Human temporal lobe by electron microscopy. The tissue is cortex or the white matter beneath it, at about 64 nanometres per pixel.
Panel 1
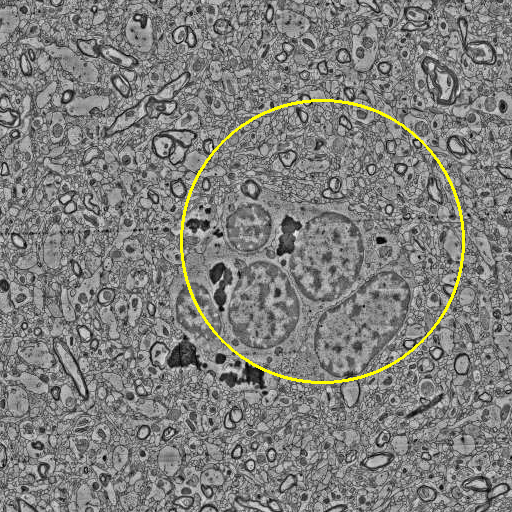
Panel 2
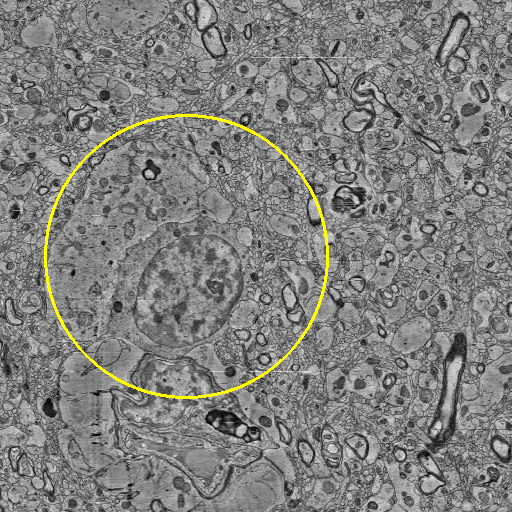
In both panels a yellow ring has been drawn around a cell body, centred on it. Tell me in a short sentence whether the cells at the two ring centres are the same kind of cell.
Yes, they are the same kind of cell.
